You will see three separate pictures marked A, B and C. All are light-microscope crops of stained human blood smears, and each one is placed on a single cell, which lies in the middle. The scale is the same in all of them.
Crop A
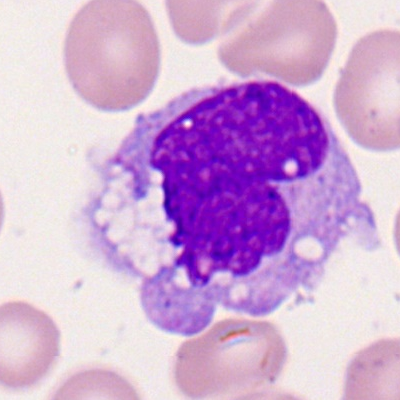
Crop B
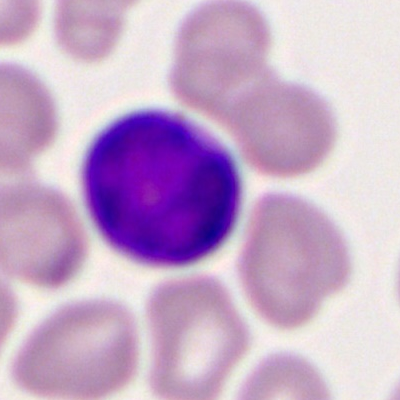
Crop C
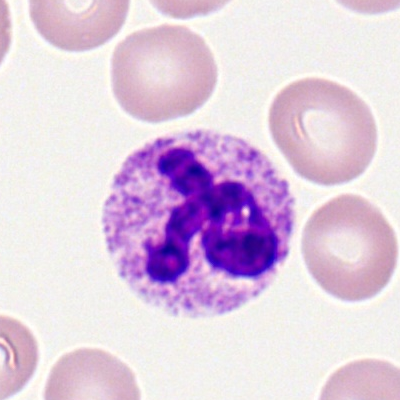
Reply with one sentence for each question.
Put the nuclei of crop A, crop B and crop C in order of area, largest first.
The order is A, B, C, beginning with the largest.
